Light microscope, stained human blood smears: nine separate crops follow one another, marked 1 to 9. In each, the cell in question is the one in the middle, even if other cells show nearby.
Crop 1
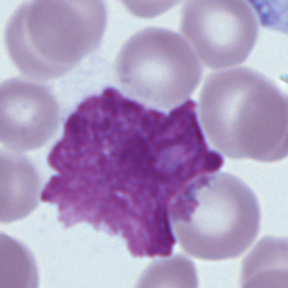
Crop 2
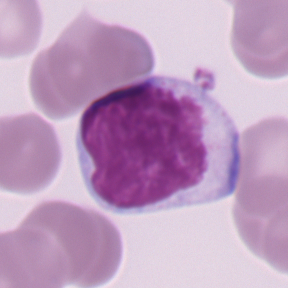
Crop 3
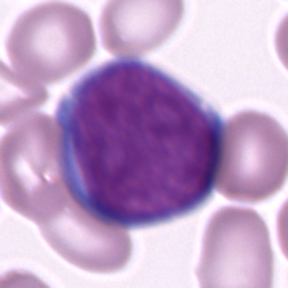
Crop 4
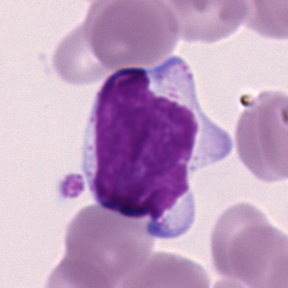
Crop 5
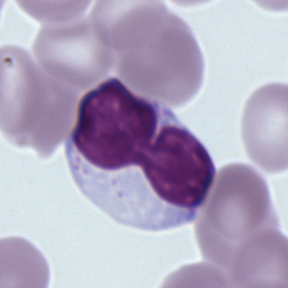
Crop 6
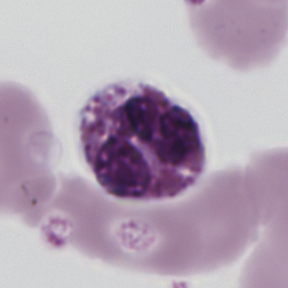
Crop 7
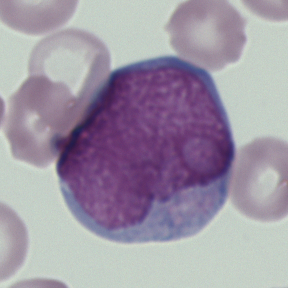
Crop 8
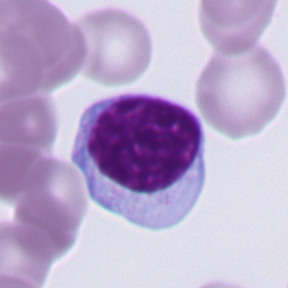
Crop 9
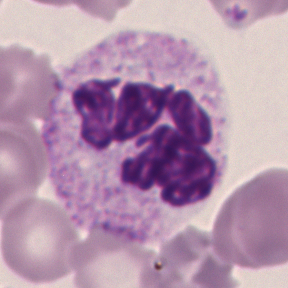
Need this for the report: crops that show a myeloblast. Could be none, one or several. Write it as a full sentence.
Crops 3 and 7 depict myeloblasts in the middle.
